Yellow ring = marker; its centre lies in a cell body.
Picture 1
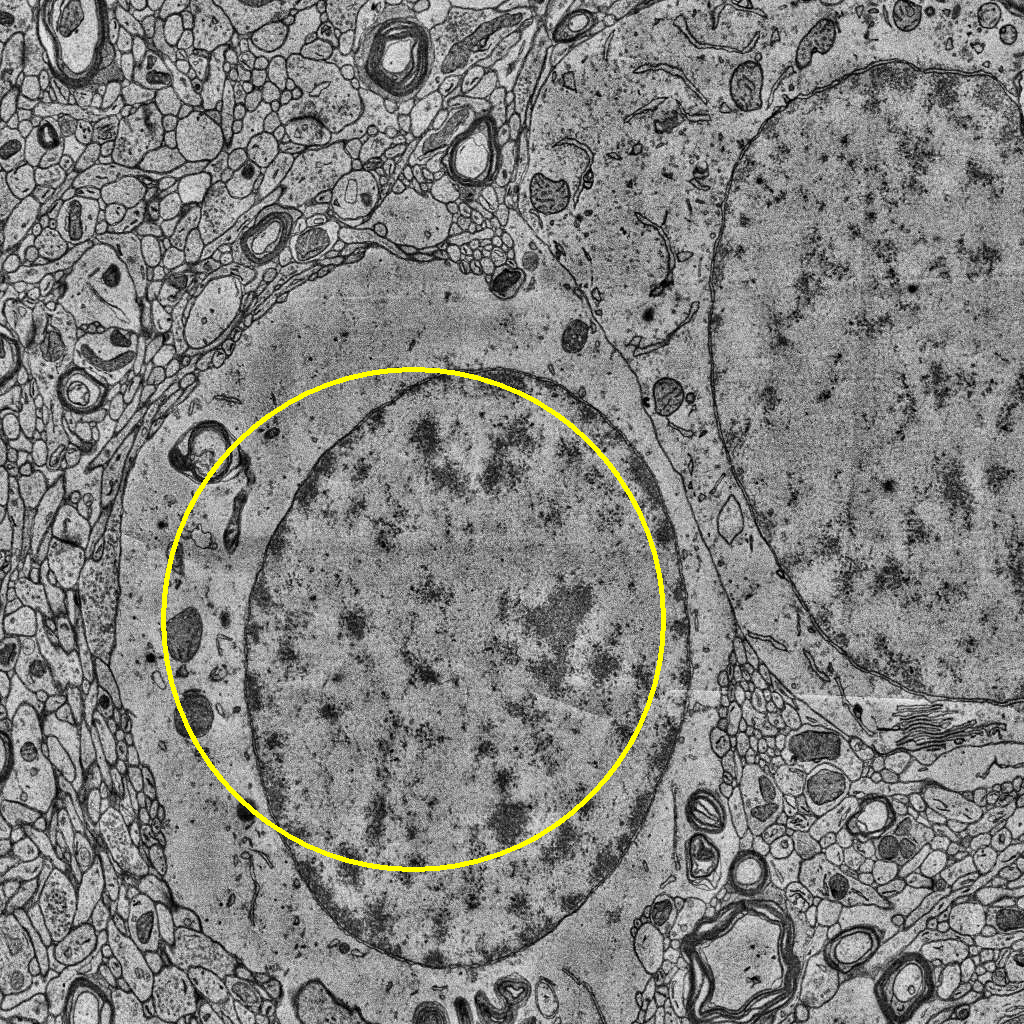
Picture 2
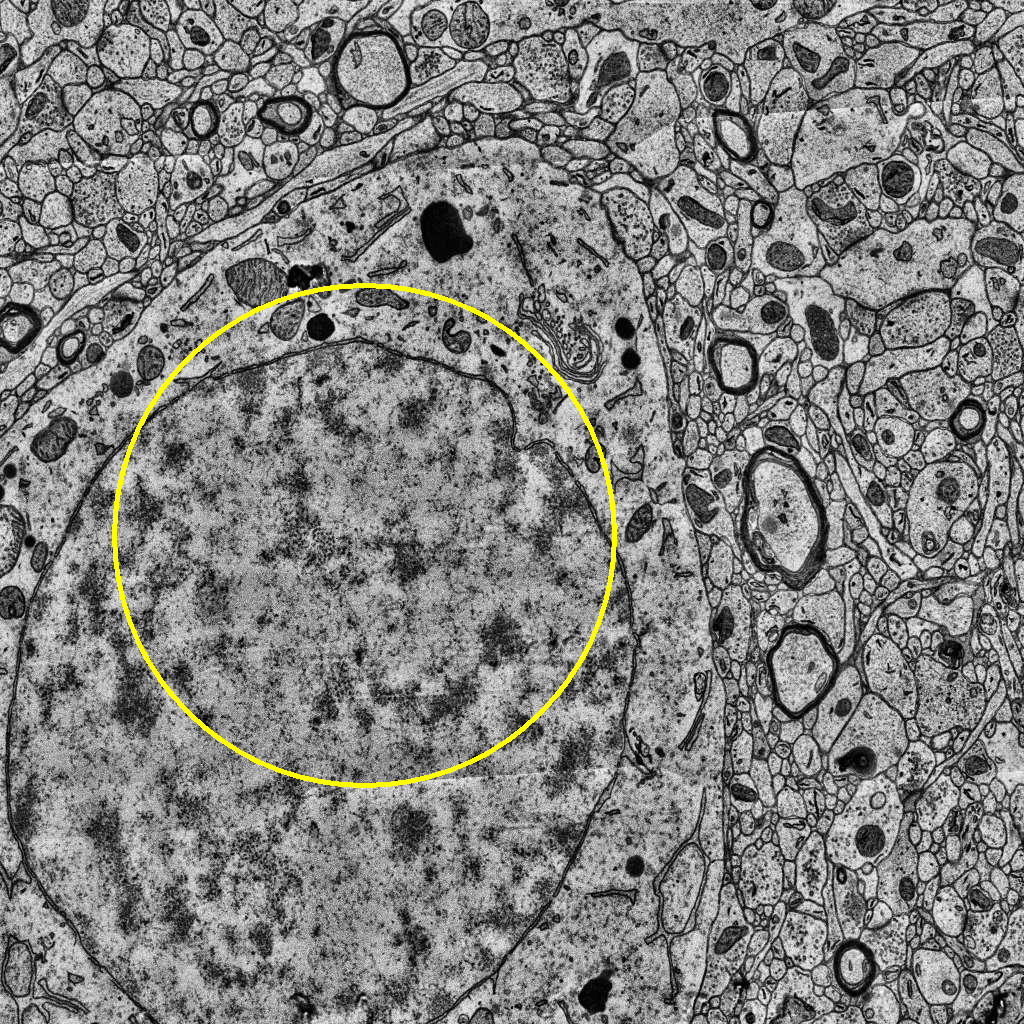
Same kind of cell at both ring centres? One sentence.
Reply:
No, they are two kinds of cell.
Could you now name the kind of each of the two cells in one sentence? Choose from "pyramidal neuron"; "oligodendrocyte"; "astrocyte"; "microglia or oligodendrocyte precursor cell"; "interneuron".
The first picture has an astrocyte in its ring, the second has a pyramidal neuron.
